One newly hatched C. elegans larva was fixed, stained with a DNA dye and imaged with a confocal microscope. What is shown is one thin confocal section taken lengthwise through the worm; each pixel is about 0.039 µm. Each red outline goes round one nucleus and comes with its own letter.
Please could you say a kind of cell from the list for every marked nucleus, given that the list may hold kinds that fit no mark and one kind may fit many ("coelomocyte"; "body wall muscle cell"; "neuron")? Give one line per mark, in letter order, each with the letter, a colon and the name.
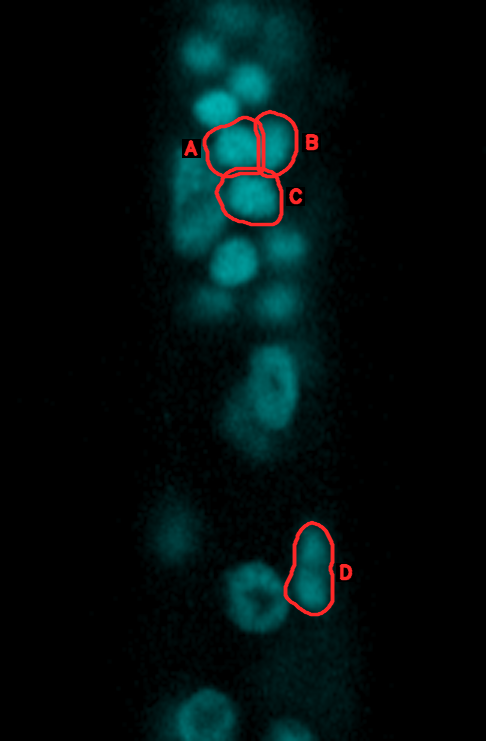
A: neuron
B: neuron
C: neuron
D: body wall muscle cell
